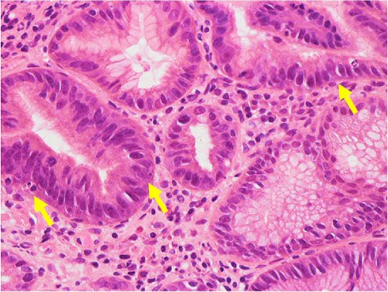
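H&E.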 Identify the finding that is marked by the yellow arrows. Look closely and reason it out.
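The arrows point to single cells within the glandular epithelium. The marked spots are small dark condensed bodies set in the epithelial lining.
Answer: Apoptosis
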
